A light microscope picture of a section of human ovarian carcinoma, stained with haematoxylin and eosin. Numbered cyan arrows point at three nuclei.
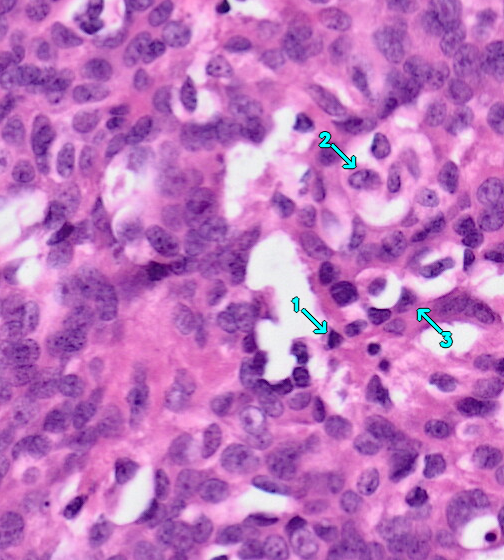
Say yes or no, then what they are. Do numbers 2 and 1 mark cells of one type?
Yes, both are macrophages or monocytes.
